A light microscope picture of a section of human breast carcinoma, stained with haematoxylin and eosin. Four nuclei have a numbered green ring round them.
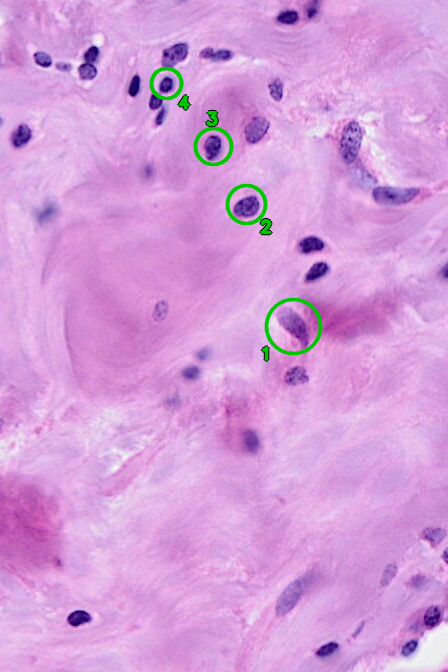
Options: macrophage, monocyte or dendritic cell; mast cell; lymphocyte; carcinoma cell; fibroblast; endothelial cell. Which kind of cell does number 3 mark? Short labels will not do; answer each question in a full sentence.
The nucleus labeled 3 belongs to a lymphocyte.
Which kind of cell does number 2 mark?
In this section, the cell numbered 2 is a lymphocyte.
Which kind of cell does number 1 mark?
The identity of cell 1 is that of a fibroblast.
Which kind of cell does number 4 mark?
In this section, number 4 marks a lymphocyte.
